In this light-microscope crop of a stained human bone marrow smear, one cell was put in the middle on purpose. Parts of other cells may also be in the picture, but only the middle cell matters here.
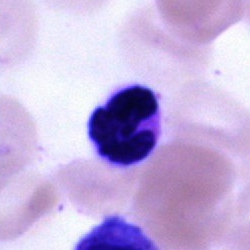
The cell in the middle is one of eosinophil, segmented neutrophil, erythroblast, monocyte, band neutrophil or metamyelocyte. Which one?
segmented neutrophil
